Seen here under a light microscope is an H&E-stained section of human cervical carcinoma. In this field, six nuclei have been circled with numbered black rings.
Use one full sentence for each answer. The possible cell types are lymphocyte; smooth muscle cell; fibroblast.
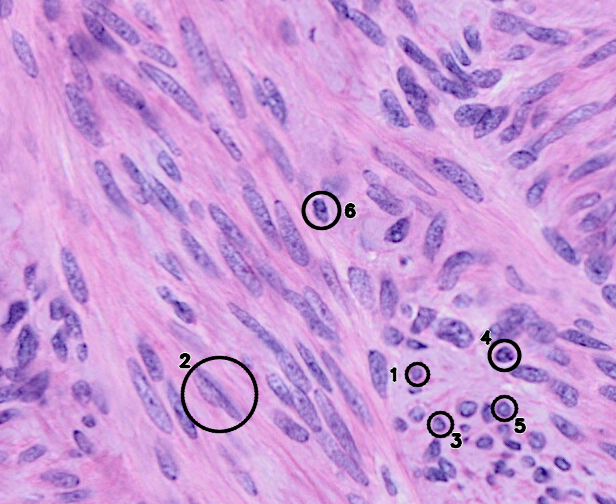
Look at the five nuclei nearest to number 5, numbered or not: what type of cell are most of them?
Smooth muscle cells make up most of the five nuclei closest to number 5.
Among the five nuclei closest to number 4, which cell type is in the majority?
Of the five nuclei nearest to number 4, most belong to fibroblasts.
